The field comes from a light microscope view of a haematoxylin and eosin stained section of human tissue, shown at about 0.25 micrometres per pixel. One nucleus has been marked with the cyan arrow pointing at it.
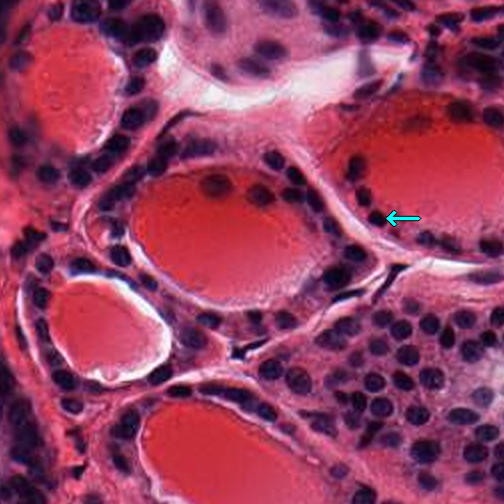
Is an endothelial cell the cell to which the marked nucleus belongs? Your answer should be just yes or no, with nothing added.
no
